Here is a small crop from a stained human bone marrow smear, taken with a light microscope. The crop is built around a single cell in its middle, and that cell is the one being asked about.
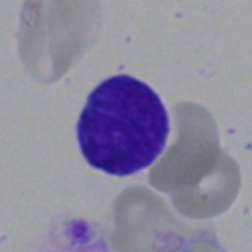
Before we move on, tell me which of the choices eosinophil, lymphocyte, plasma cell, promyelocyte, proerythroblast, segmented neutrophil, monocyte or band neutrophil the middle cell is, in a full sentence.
The cell at the central position in this crop is a lymphocyte.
